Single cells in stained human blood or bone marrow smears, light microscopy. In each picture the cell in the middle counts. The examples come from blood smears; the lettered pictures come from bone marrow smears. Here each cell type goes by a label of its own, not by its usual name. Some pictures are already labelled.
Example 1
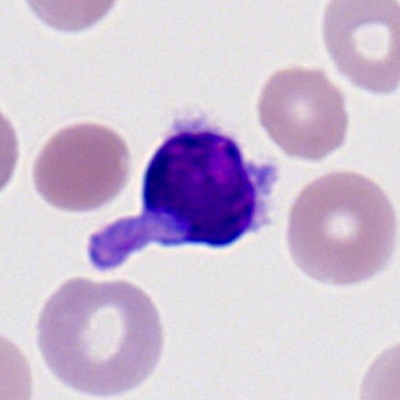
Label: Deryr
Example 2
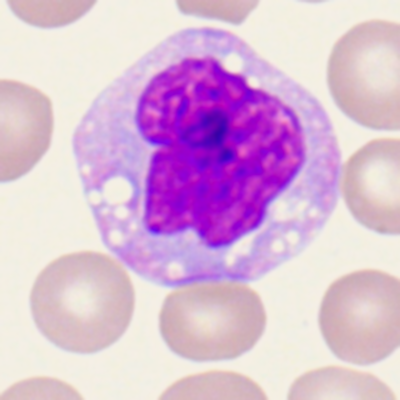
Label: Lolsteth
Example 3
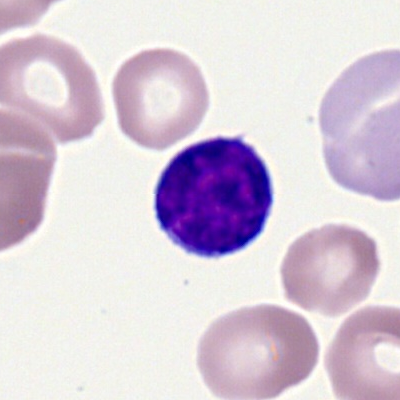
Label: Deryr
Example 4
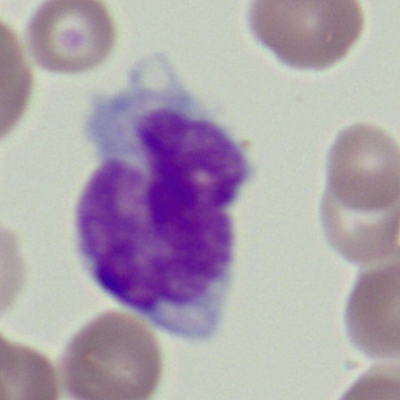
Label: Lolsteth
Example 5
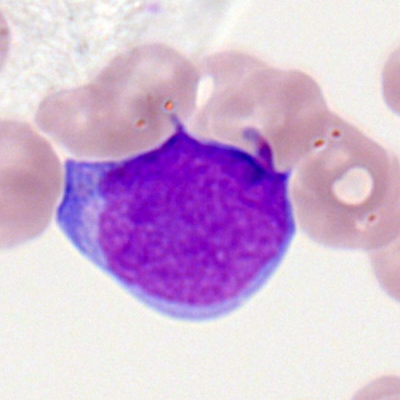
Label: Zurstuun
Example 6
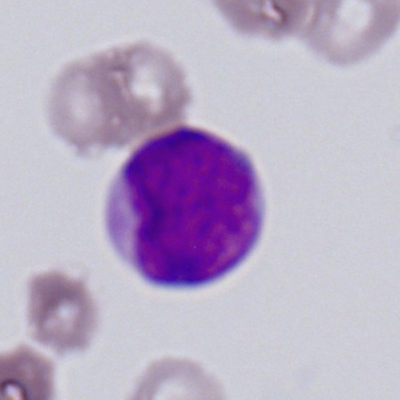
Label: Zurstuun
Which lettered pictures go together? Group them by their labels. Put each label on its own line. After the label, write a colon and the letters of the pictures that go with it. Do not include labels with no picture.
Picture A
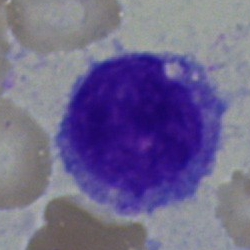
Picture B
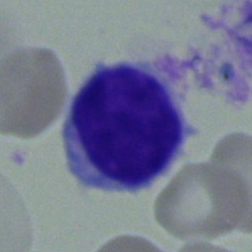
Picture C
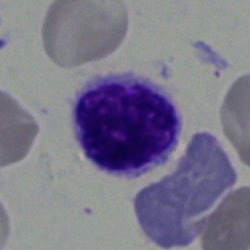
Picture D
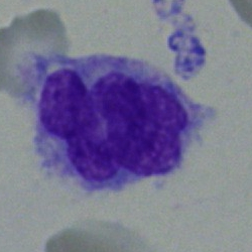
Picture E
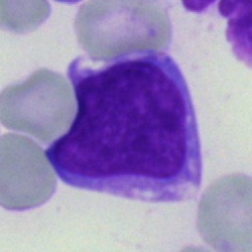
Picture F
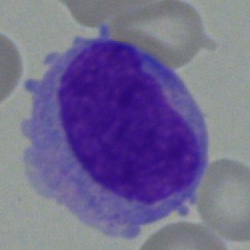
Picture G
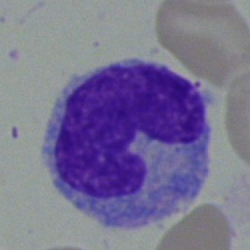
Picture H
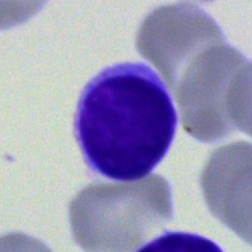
Deryr: B, C, H
Lolsteth: A, D, F, G
Zurstuun: E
